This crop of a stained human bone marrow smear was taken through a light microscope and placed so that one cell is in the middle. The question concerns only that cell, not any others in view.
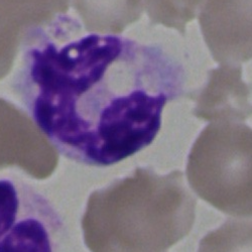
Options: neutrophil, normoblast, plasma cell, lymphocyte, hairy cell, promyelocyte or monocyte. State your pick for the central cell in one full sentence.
This crop has a neutrophil at its centre.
